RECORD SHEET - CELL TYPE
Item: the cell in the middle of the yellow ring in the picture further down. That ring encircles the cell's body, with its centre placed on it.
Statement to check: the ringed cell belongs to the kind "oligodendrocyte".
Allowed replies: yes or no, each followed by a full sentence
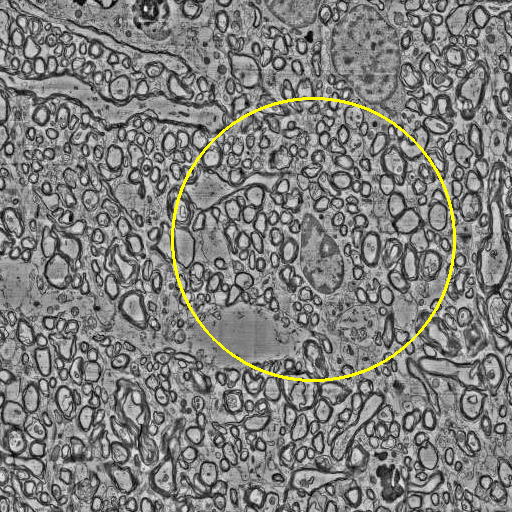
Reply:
No, the cell held at the centre of the ring in the picture is of a different kind.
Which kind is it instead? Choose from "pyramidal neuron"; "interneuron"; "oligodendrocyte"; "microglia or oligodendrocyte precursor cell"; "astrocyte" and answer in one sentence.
That cell in the ring is a microglial cell or oligodendrocyte precursor cell instead.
